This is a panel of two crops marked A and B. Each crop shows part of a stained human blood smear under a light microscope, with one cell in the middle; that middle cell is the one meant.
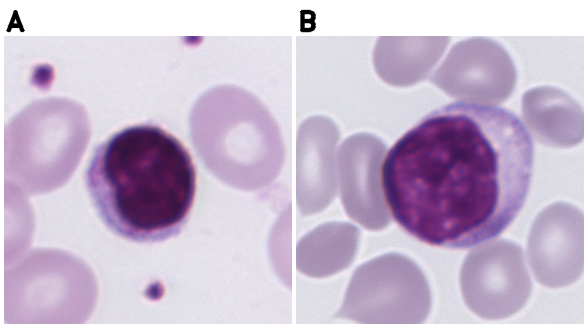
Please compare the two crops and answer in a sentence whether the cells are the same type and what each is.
Yes, both crops, not just one, show large granular lymphocytes.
